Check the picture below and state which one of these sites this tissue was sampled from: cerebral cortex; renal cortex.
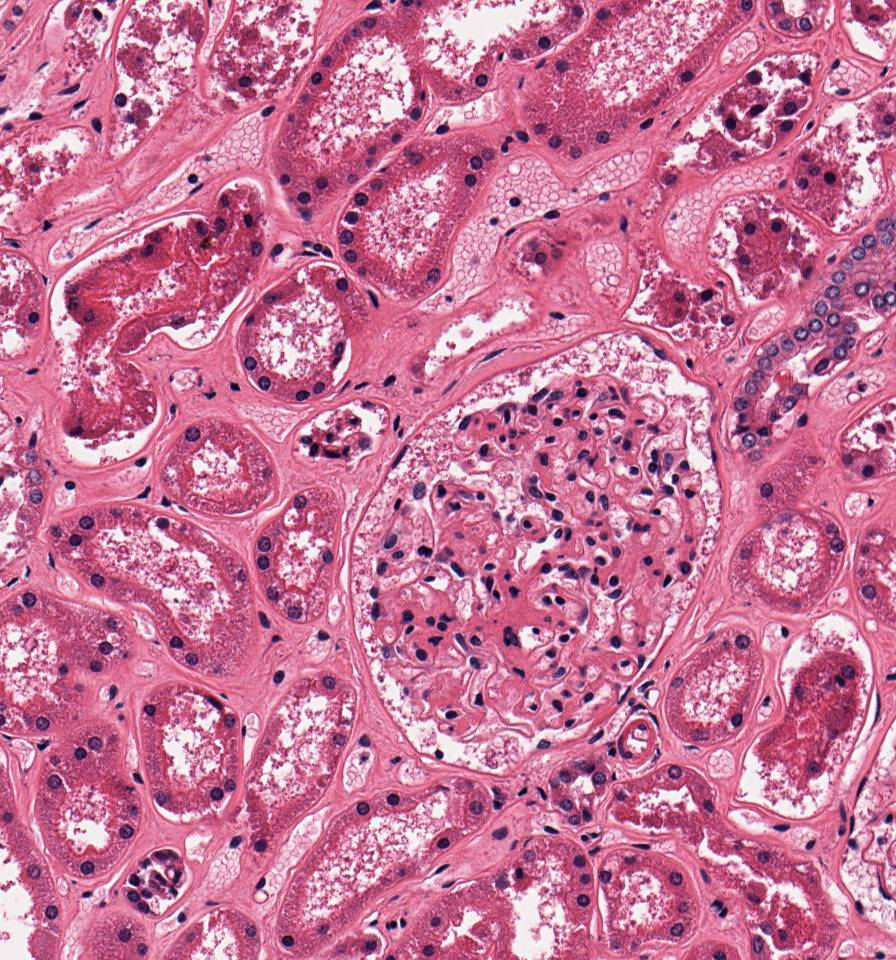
renal cortex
